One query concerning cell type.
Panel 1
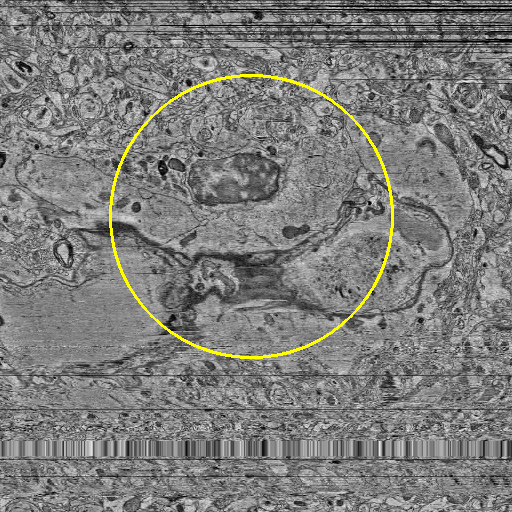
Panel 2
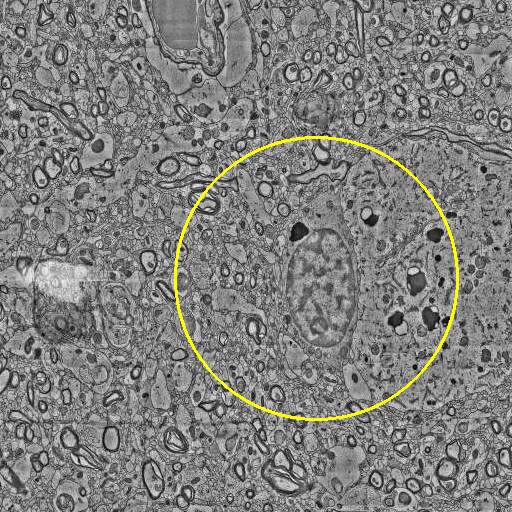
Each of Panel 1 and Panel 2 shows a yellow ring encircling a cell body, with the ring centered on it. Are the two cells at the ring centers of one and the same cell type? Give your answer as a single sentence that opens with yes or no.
No, the cell centered in Panel 1 and the one in Panel 2 are of two types.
